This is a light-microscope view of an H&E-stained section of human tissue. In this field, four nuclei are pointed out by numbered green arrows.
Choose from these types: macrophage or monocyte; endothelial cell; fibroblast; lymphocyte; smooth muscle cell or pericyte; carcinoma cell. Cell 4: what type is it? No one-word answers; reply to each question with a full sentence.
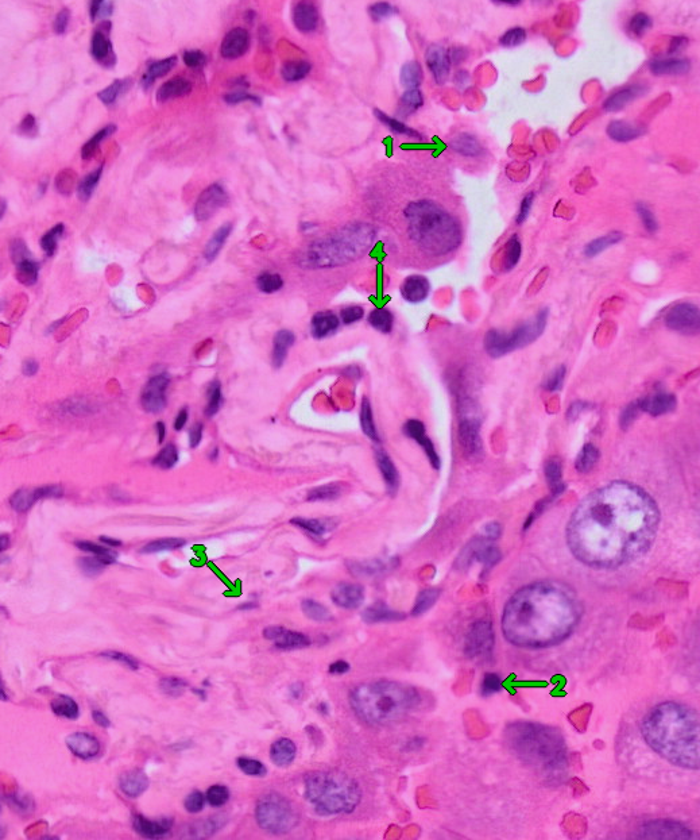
The numeral 4 marks a lymphocyte in this section.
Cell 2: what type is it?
The cell with the number 2 is a lymphocyte.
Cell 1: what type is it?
Identified as a macrophage or monocyte is the cell bearing the number 1.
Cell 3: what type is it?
The marked nucleus 3 is that of a fibroblast.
